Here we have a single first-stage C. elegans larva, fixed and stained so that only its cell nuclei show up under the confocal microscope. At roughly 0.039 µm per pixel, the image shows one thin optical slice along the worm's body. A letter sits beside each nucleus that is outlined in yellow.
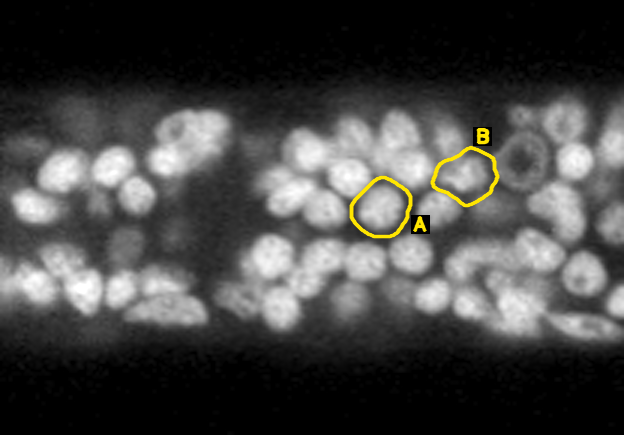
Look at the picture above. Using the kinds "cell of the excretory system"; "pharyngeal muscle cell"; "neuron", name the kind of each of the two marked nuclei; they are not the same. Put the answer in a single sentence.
One is from a neuron, namely A, and the other, B, is from a cell of the excretory system.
